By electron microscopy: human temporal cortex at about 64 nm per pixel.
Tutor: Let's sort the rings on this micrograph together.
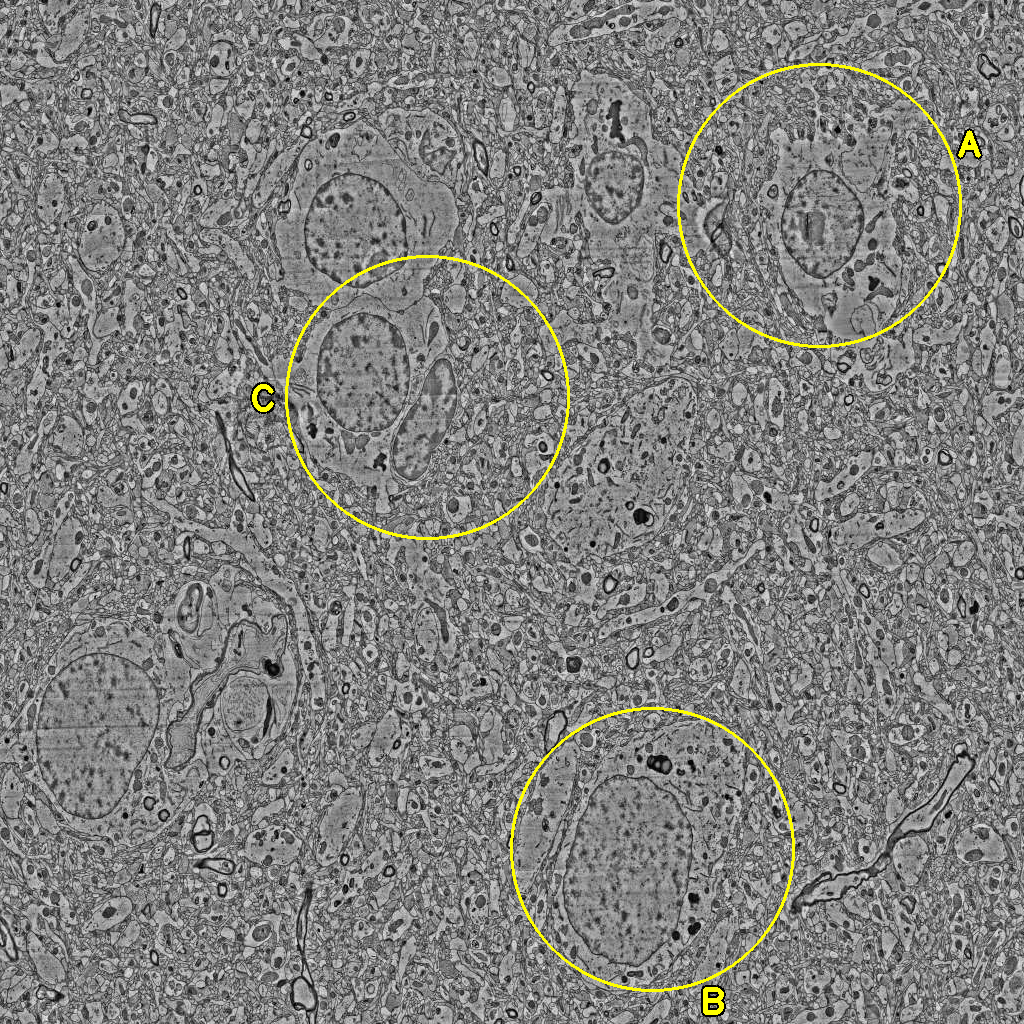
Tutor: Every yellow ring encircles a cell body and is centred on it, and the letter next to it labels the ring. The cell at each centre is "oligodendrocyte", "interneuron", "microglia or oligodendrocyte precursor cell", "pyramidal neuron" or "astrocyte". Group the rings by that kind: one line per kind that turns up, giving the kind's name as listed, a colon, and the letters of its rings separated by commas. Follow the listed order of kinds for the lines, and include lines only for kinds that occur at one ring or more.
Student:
microglia or oligodendrocyte precursor cell: C
pyramidal neuron: B
astrocyte: A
